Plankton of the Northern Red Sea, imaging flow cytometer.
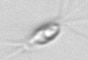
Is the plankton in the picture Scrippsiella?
No, it is Chrysochromulina parkeae.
